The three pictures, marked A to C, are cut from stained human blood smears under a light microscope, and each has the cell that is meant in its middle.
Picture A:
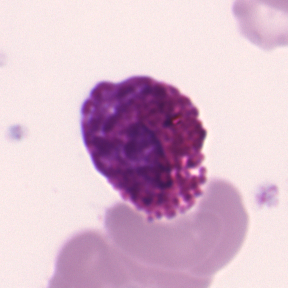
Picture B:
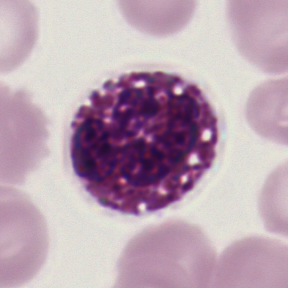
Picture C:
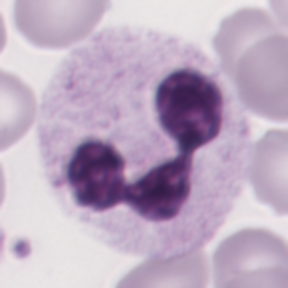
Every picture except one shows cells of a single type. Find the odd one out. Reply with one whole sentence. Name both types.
All pictures except C show eosinophils; picture C shows a segmented neutrophil.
